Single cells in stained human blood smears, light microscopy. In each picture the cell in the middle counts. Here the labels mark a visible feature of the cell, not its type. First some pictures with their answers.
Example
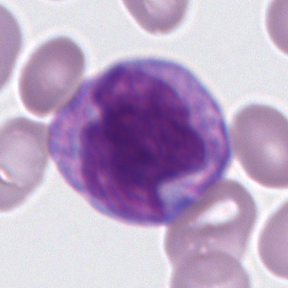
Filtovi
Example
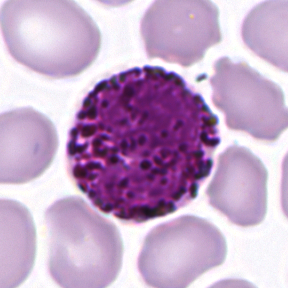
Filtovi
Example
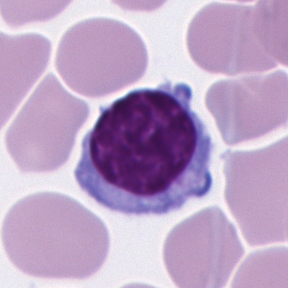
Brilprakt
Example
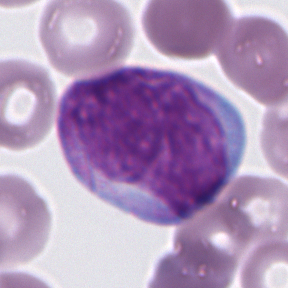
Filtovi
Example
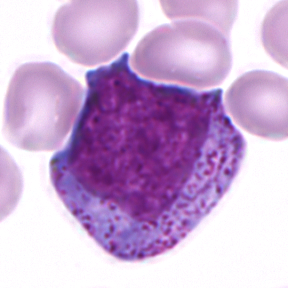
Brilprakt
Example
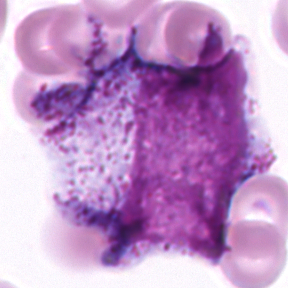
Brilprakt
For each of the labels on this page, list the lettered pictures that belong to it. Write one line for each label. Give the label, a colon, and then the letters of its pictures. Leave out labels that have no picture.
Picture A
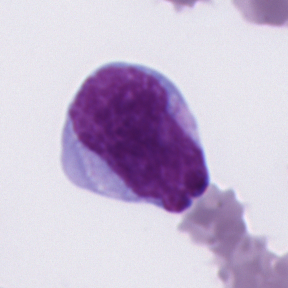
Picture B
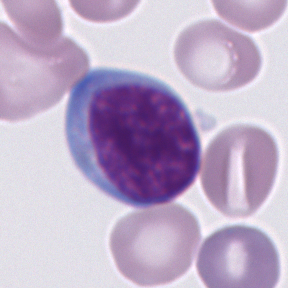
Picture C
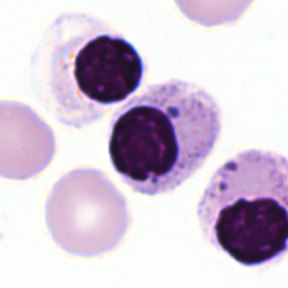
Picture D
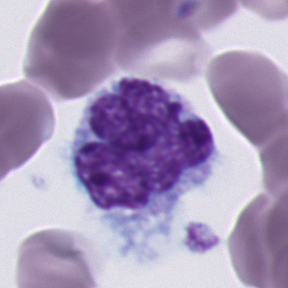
Filtovi: A, B, C
Brilprakt: D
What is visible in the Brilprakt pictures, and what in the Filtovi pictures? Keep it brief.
Seen in Brilprakt: ragged outline or projections; seen in Filtovi: smooth outline.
